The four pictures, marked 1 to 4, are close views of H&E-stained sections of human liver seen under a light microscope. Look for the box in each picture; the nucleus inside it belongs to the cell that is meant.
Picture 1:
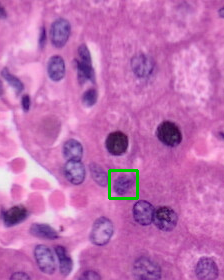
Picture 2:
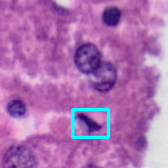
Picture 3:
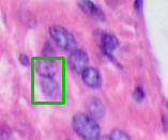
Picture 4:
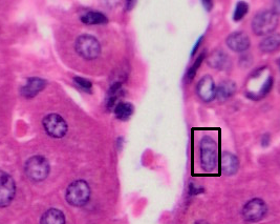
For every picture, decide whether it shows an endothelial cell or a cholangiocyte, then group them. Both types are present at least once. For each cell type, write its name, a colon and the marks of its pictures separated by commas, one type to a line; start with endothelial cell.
endothelial cell: 2
cholangiocyte: 1, 3, 4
